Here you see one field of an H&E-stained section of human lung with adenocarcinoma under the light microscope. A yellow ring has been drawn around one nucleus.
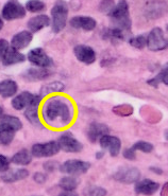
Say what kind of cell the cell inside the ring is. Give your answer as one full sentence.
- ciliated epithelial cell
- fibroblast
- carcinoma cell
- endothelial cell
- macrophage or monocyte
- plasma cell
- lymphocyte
In this preparation, the cell inside the ring is a lymphocyte.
